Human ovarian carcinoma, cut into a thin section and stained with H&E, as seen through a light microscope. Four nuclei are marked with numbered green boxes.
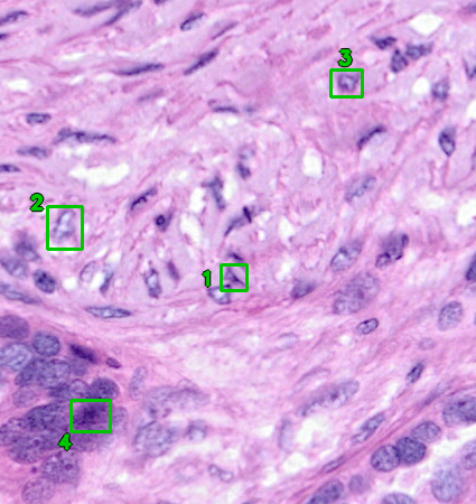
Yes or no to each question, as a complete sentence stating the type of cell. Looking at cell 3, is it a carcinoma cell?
No, cell 3 is to be read as a fibroblast, not a carcinoma cell.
